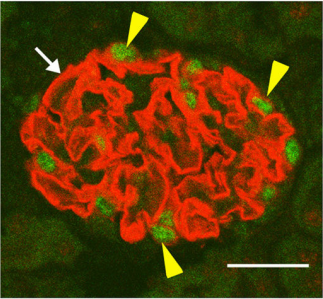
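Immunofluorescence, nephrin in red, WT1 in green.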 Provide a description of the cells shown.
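A round glomerular tuft is shown, its capillary loops outlined by continuous, thin, wavy red lines that fill the whole tuft. Numerous small oval green nuclei sit along the outer aspect of the loops, at the tuft's periphery and between the folds. The surrounding tubular tissue appears as dim, faintly green background.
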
